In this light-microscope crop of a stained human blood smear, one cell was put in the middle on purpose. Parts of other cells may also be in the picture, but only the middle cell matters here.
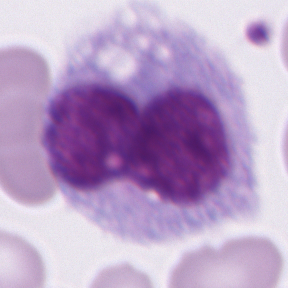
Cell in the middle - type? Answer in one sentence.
The single cell at the center of the crop is a monocyte.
